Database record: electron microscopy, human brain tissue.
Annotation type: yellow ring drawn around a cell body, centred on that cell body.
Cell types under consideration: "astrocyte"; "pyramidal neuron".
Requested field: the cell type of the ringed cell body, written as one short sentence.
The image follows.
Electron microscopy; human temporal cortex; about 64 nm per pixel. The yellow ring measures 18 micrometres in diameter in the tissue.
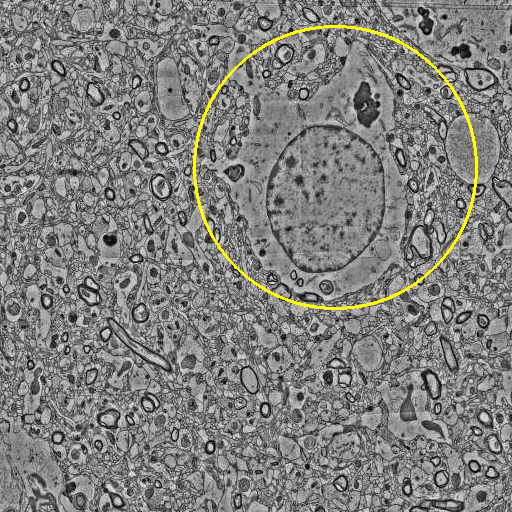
The ringed cell body represents an astrocyte.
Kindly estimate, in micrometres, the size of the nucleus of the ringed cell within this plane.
The nucleus appears roughly 9 by 8 micrometres in this plane.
